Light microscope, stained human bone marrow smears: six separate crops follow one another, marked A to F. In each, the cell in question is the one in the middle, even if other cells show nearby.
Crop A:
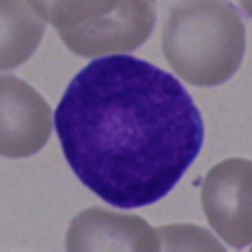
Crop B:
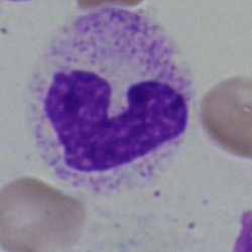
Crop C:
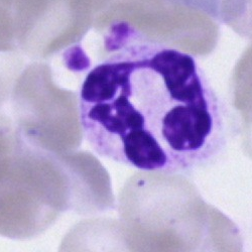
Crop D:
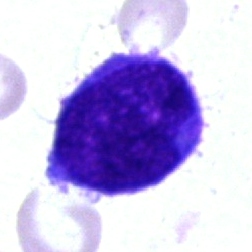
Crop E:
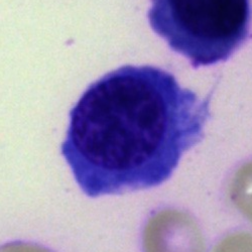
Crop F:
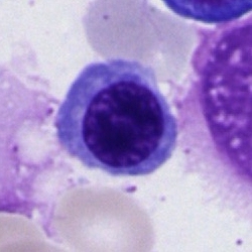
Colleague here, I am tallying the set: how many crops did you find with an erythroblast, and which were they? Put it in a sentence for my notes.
It is in crops E and F that erythroblasts are shown, two crops in all.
